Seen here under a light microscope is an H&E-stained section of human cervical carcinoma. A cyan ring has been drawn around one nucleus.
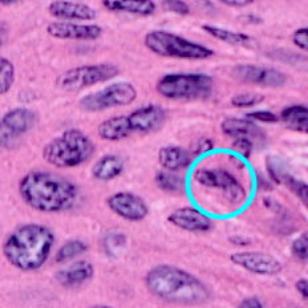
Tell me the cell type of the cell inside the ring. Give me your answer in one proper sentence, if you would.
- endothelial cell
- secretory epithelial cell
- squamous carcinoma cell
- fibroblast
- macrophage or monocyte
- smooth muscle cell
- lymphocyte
For cell typing purposes, the cell inside the ring is a squamous carcinoma cell.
